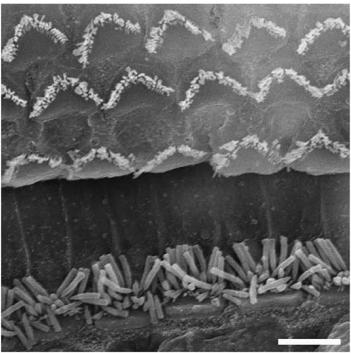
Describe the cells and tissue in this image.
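This scanning electron micrograph shows the cochlear sensory surface with rows of outer hair cells above and a row of inner hair cells below. The outer hair cells bear V-shaped bundles of fine stereocilia set in orderly rows. The inner hair cells bear stout, rod-like stereocilia standing in a line. Between them lies a strip of smooth supporting cell surface.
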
